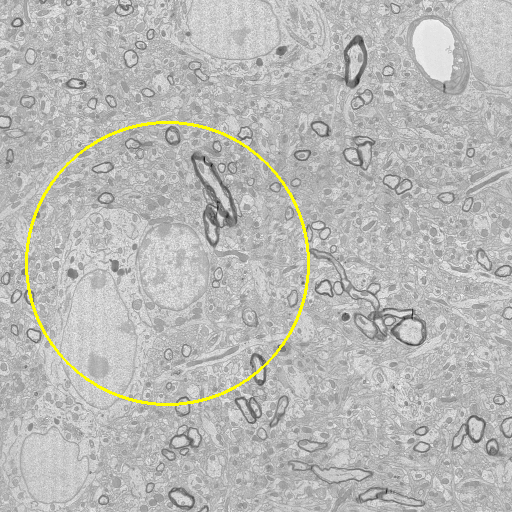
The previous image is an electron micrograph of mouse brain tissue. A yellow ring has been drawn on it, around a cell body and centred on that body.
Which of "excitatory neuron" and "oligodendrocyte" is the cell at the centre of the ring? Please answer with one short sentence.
The cell body at the centre of the ring belongs to an oligodendrocyte.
